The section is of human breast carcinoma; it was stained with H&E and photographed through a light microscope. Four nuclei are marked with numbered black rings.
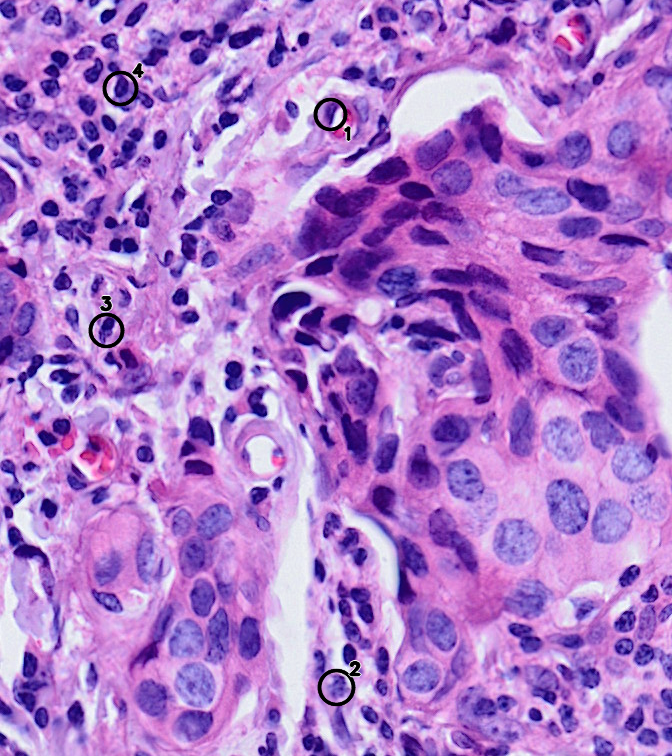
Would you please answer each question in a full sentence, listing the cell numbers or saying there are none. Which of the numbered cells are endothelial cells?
Only at number 1 is there an endothelial cell among the marked cells.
